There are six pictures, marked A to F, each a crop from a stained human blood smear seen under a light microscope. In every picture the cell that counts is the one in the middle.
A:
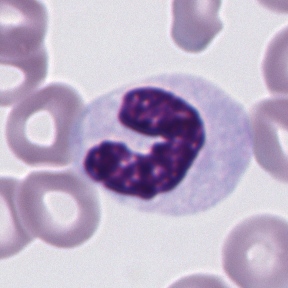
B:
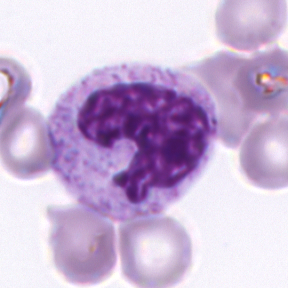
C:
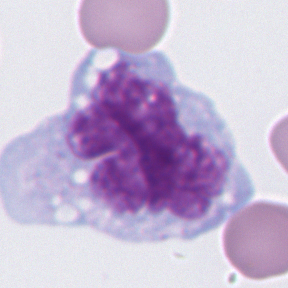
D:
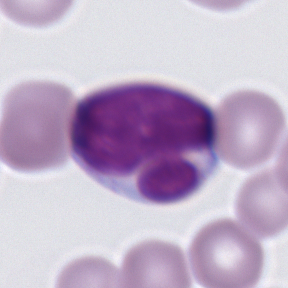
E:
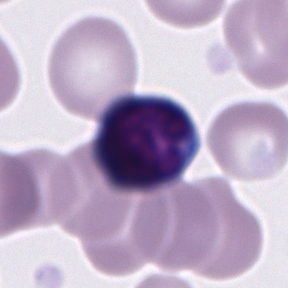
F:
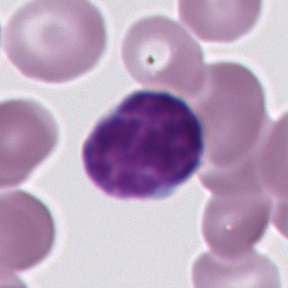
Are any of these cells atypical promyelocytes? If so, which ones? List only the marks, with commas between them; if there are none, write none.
none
